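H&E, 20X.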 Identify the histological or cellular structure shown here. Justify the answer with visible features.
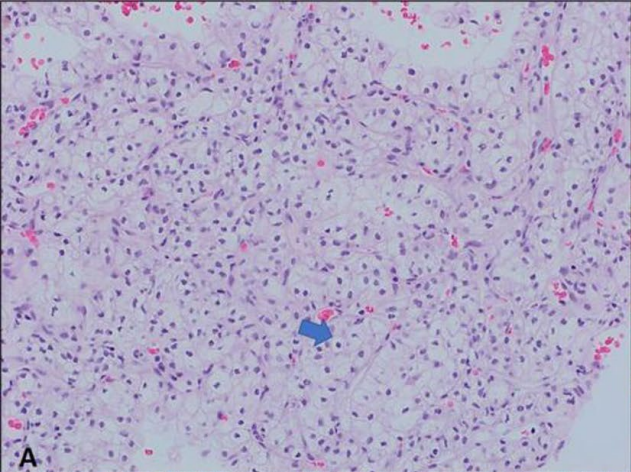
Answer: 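Cells are packed in tight groups separated by fine vascular septa. So: compact nests of tumor cells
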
